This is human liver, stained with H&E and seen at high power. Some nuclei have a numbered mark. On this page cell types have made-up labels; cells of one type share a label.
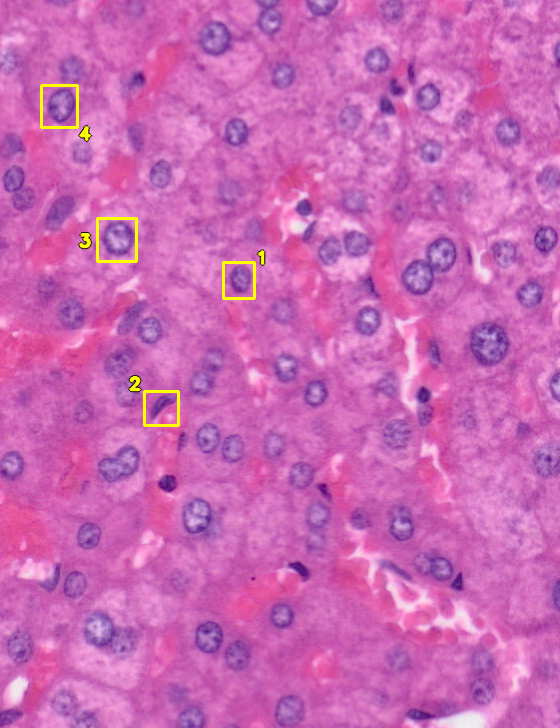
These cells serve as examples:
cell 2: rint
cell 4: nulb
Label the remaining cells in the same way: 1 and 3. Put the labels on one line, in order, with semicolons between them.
nulb; nulb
